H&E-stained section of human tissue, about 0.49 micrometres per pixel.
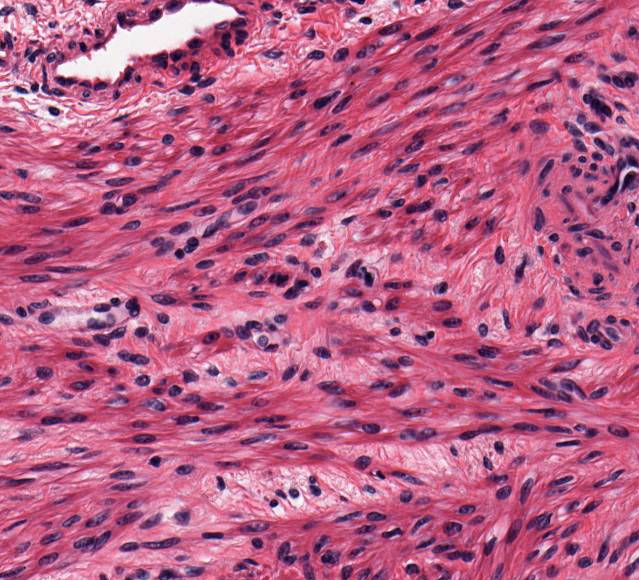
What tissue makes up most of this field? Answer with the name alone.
smooth muscle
